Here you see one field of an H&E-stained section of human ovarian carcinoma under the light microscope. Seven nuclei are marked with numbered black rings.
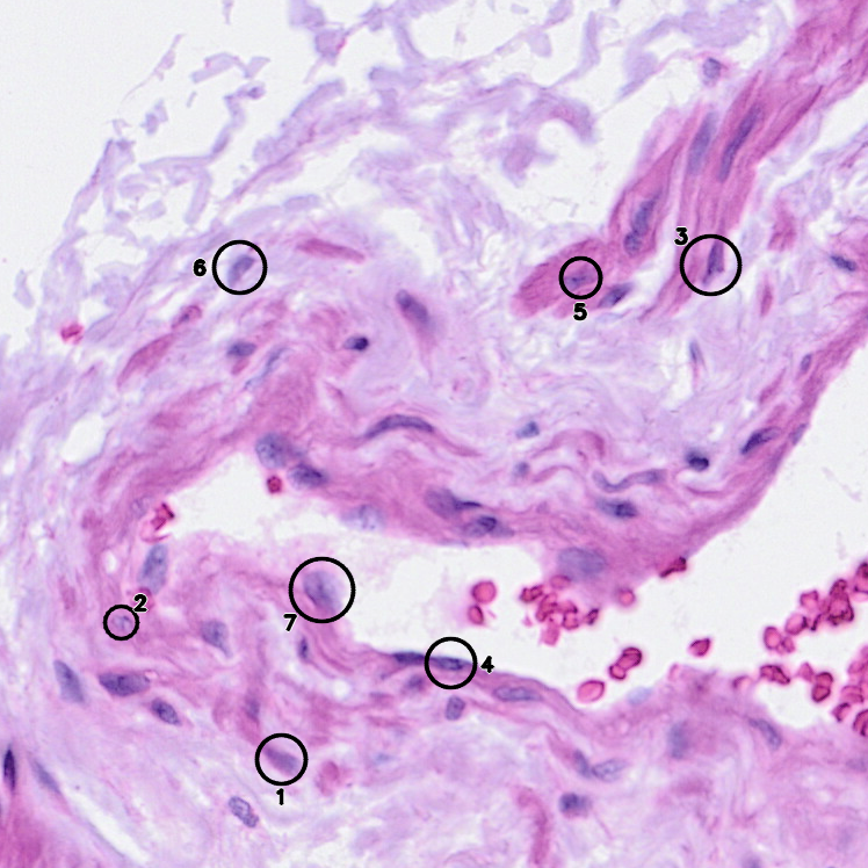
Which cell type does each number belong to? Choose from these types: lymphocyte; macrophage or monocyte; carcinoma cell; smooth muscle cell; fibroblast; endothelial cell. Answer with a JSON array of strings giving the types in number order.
["smooth muscle cell", "endothelial cell", "smooth muscle cell", "endothelial cell", "smooth muscle cell", "fibroblast", "endothelial cell"]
